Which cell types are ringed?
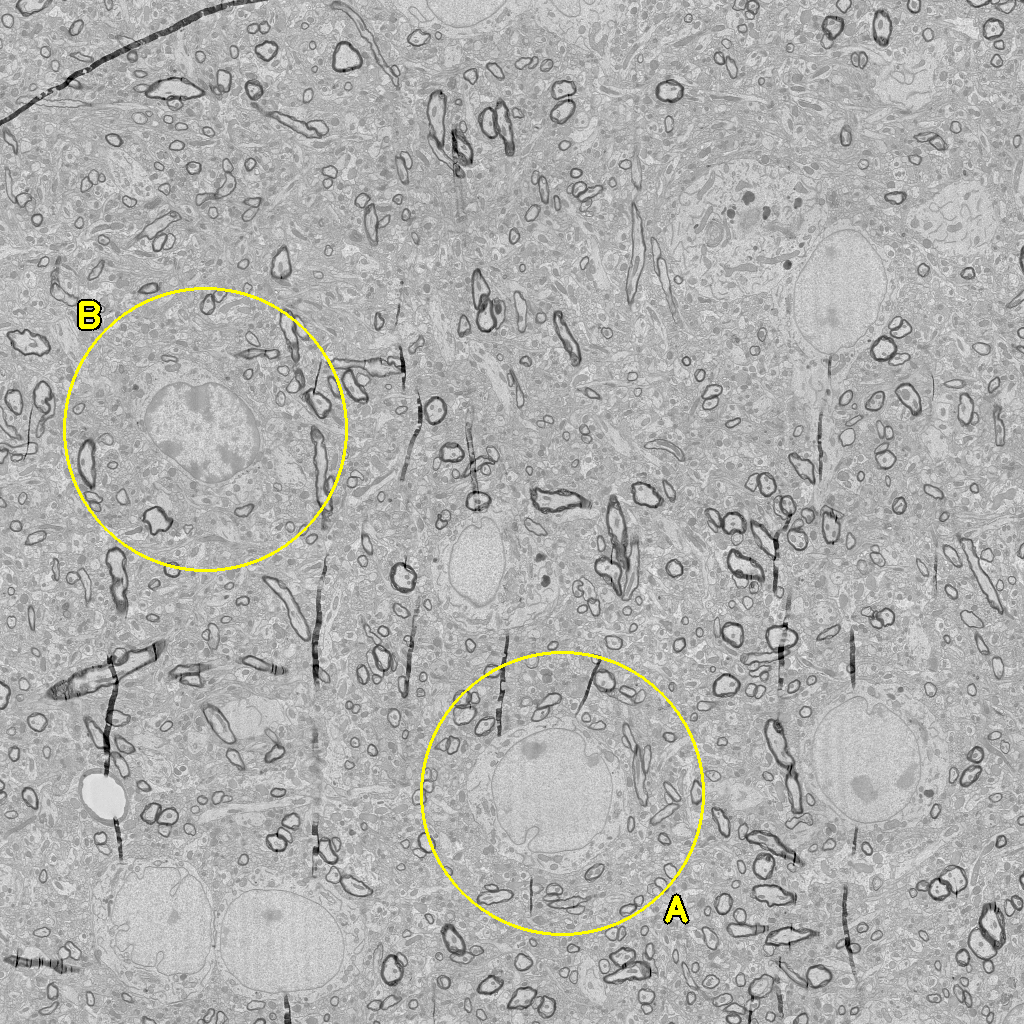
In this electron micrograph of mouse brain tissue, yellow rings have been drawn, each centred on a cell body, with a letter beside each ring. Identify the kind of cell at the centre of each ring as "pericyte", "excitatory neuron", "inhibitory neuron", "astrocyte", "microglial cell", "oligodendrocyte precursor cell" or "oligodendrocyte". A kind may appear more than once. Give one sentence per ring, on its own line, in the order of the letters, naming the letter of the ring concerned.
Ring A is drawn on an excitatory neuron.
Ring B is drawn on an oligodendrocyte.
